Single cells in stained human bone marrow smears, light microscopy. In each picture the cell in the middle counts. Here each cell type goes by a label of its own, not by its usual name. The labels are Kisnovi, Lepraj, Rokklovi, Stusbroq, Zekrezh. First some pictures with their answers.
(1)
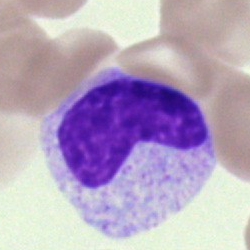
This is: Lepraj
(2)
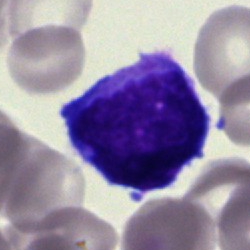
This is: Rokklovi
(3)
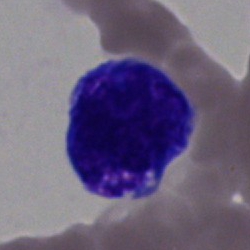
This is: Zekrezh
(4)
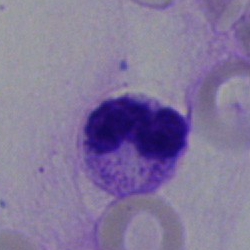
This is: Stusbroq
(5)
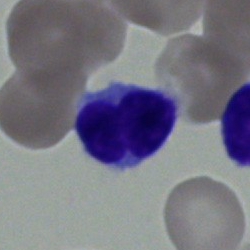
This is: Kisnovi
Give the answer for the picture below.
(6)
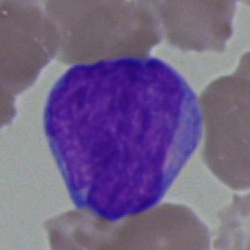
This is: Rokklovi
